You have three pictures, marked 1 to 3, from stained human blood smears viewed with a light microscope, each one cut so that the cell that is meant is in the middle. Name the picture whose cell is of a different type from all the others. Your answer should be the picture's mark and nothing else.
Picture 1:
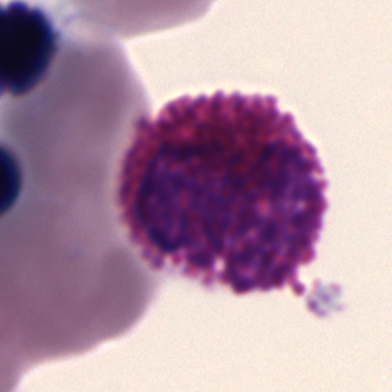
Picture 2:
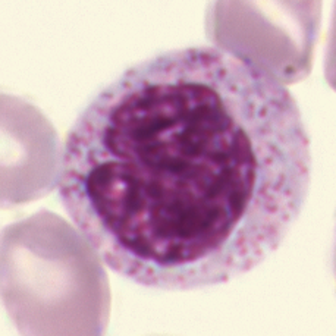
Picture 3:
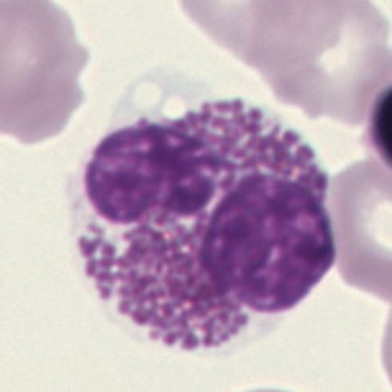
2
